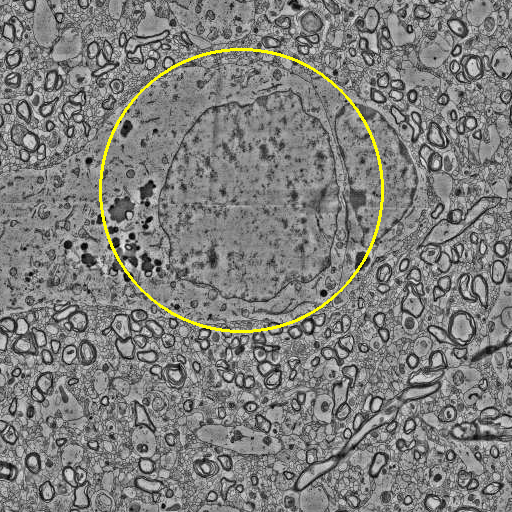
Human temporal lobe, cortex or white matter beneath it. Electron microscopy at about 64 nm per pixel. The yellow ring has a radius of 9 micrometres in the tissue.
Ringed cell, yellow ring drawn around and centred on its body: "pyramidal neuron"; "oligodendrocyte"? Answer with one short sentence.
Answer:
This ringed cell is a pyramidal neuron.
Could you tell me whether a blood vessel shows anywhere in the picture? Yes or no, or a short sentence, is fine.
No.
